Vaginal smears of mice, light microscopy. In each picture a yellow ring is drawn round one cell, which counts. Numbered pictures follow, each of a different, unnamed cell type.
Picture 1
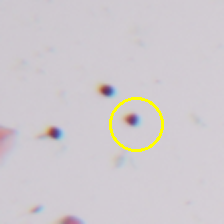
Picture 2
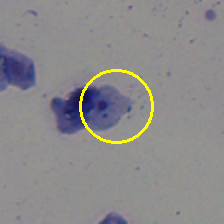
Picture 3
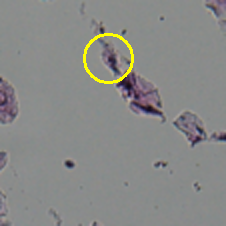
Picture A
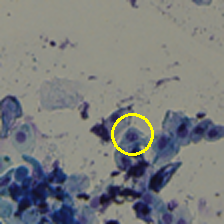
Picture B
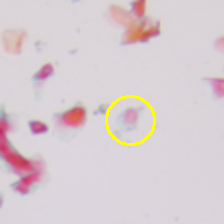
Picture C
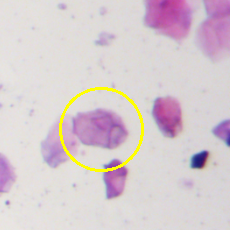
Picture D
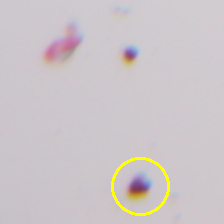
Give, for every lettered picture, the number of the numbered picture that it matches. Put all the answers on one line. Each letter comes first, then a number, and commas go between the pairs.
A 2, B 2, C 3, D 1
